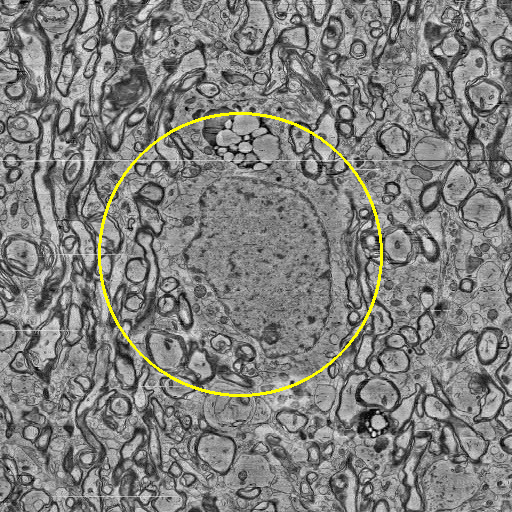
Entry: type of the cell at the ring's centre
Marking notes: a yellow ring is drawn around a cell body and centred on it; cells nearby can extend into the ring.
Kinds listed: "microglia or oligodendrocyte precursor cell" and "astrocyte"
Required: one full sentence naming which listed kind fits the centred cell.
My entry names an astrocyte as the cell whose body the yellow ring centres on.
